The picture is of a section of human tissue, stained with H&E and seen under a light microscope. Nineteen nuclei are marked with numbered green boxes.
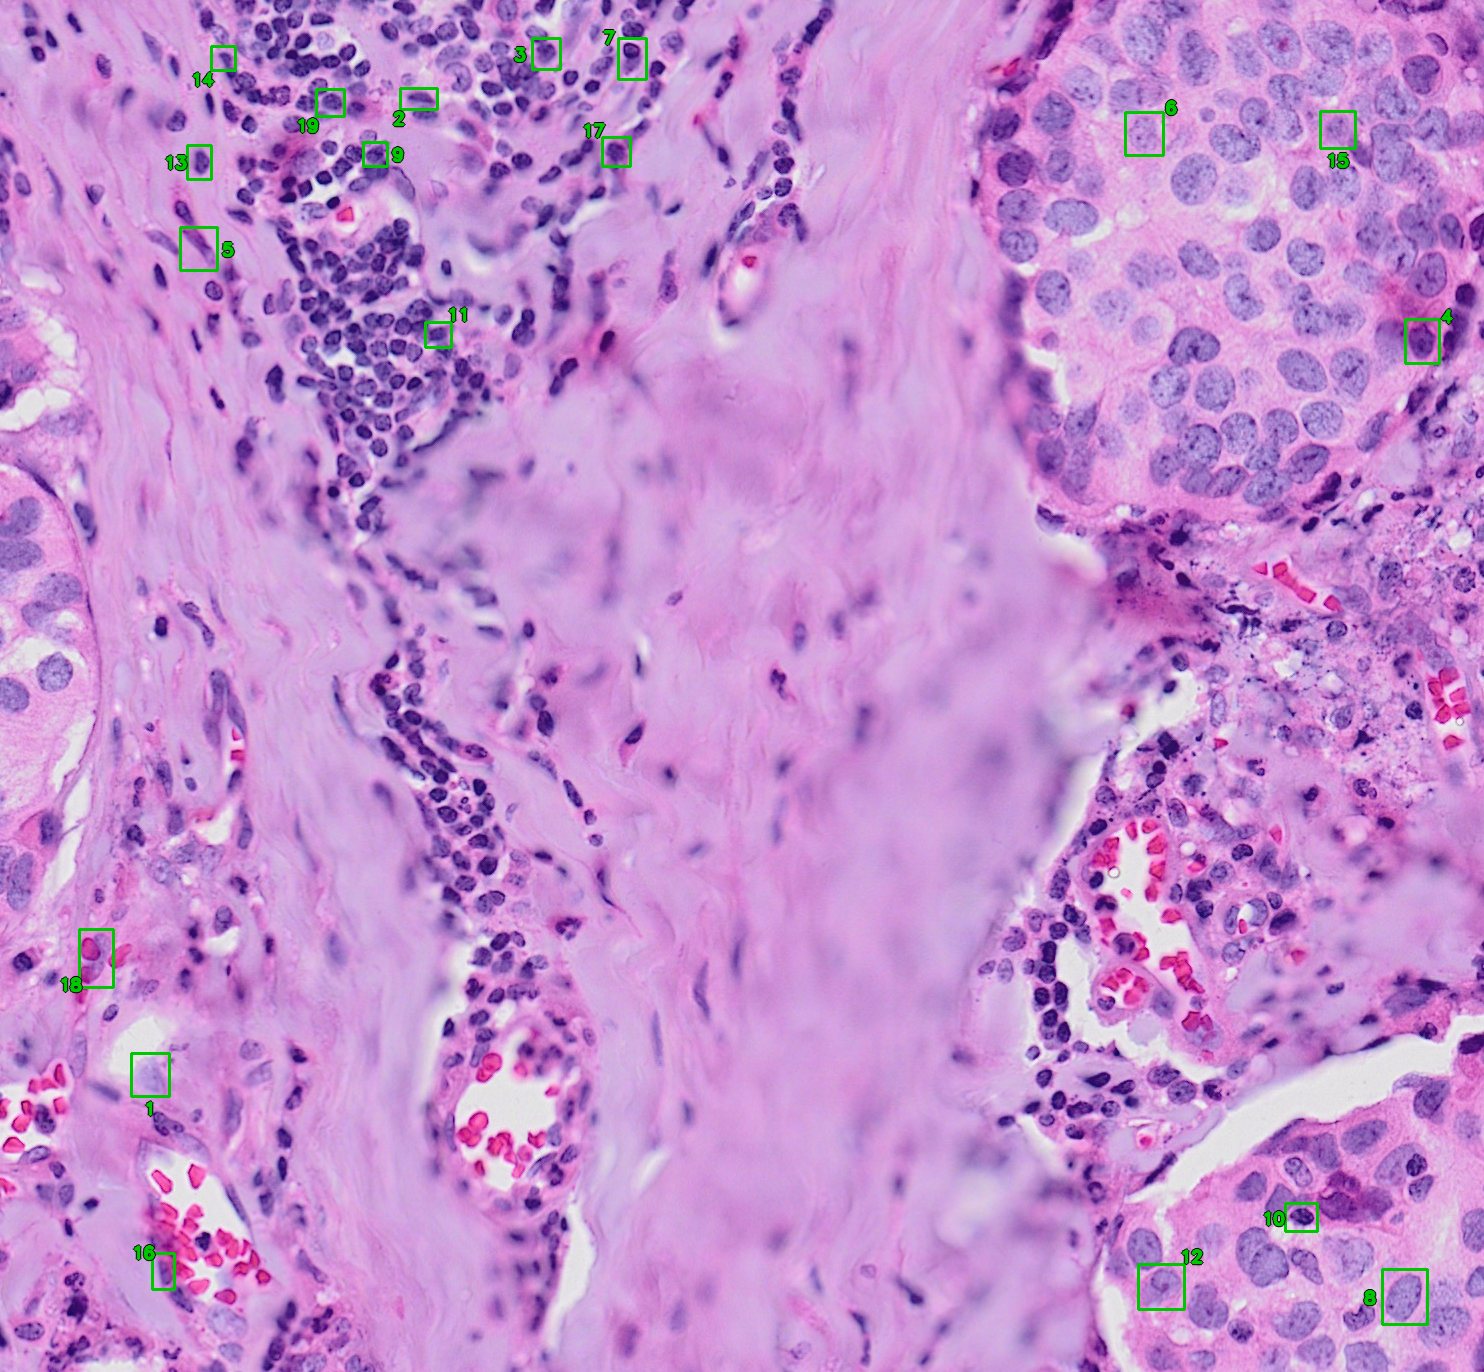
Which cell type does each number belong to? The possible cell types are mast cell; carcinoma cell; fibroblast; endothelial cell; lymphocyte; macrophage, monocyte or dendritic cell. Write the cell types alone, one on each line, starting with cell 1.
fibroblast
lymphocyte
lymphocyte
carcinoma cell
fibroblast
carcinoma cell
lymphocyte
carcinoma cell
lymphocyte
lymphocyte
lymphocyte
carcinoma cell
lymphocyte
lymphocyte
carcinoma cell
endothelial cell
lymphocyte
endothelial cell
lymphocyte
